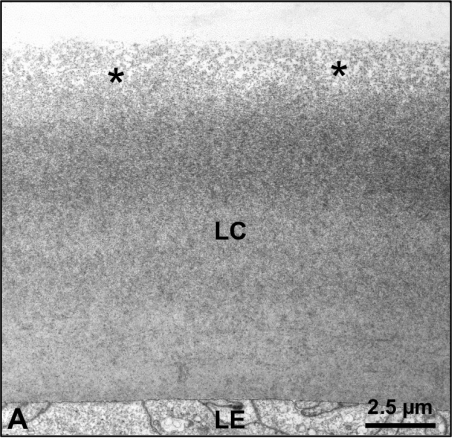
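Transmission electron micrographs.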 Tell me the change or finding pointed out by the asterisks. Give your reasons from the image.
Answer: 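The outermost band of the thick homogeneous layer is paler and looser in texture than the deeper part. The outer edge of this band is irregular. On this evidence: Roughened and loosely structured surface layer.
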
